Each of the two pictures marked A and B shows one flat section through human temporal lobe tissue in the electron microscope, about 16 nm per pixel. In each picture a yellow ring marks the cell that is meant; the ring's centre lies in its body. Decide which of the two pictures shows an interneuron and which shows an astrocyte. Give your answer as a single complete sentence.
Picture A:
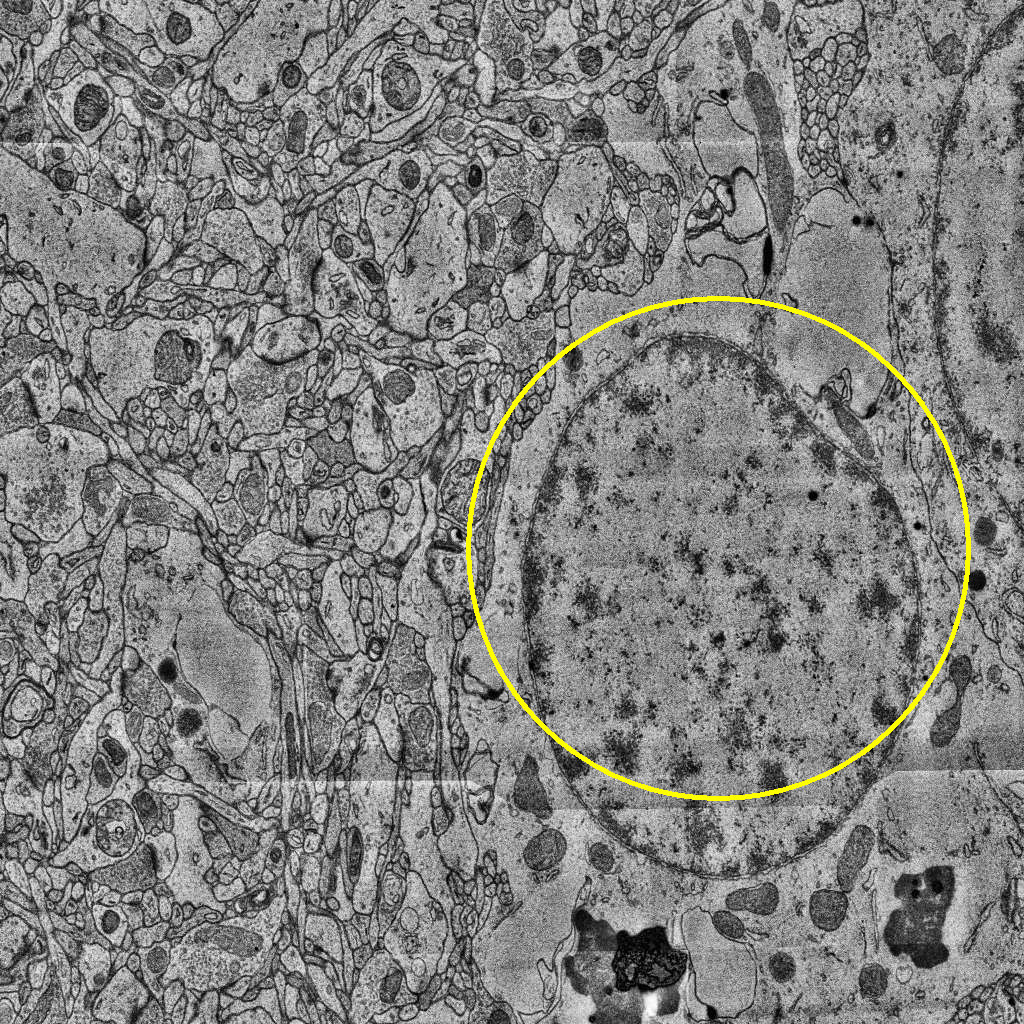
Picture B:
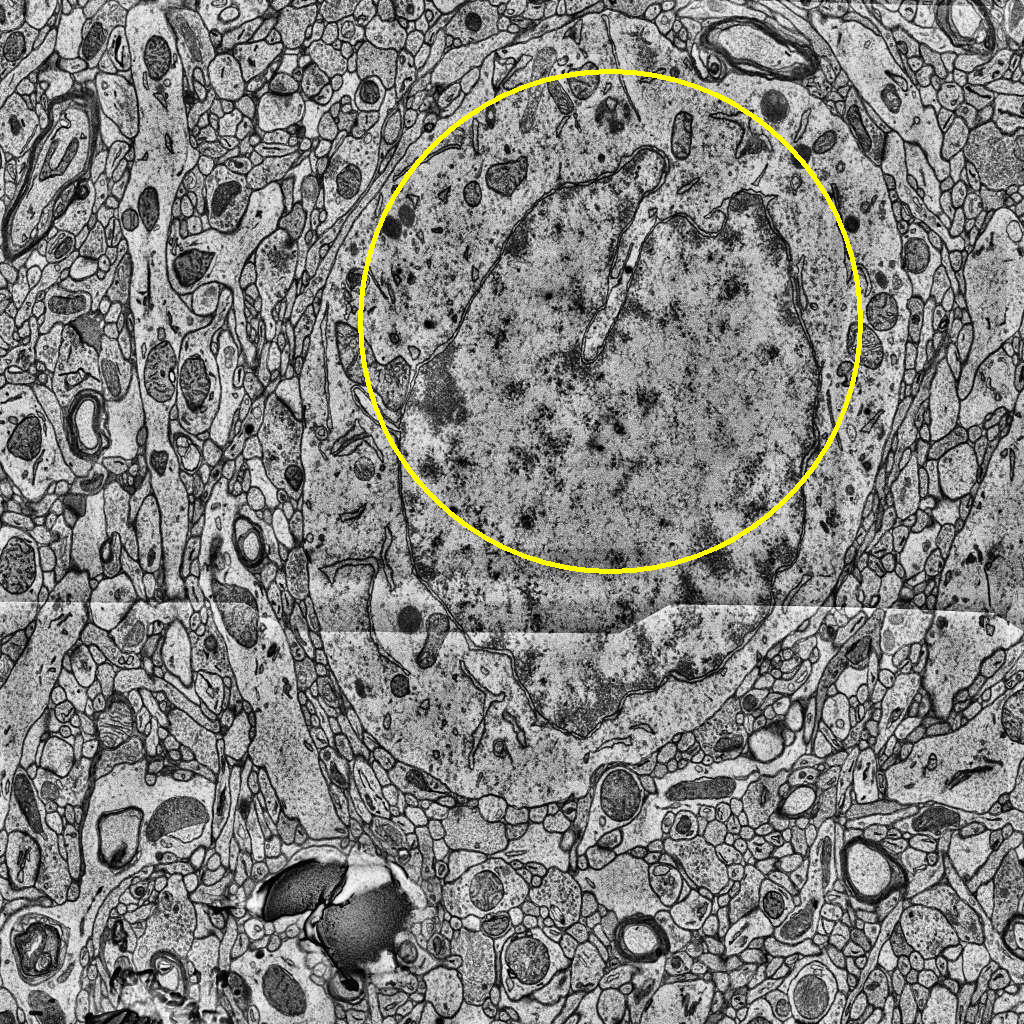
In picture A the cell is an astrocyte; in picture B, an interneuron.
